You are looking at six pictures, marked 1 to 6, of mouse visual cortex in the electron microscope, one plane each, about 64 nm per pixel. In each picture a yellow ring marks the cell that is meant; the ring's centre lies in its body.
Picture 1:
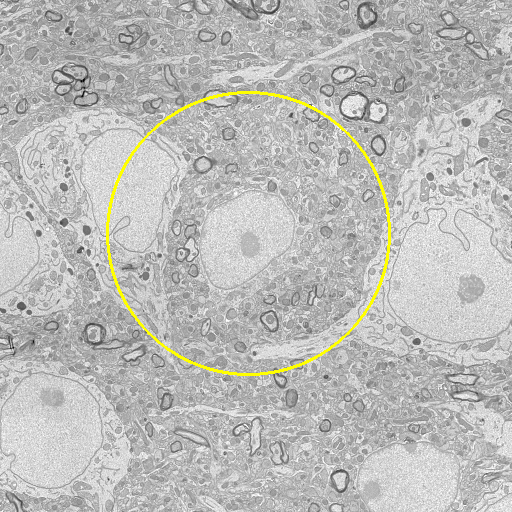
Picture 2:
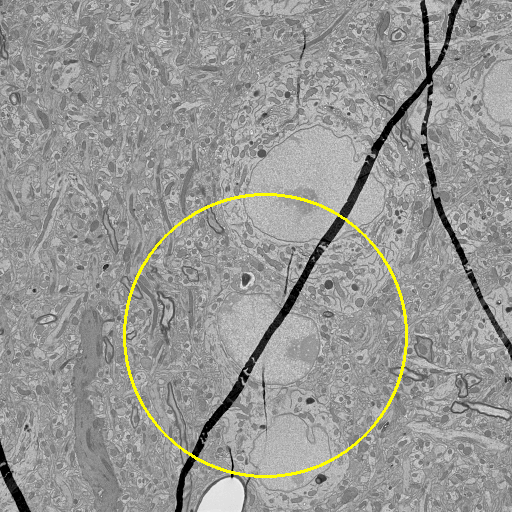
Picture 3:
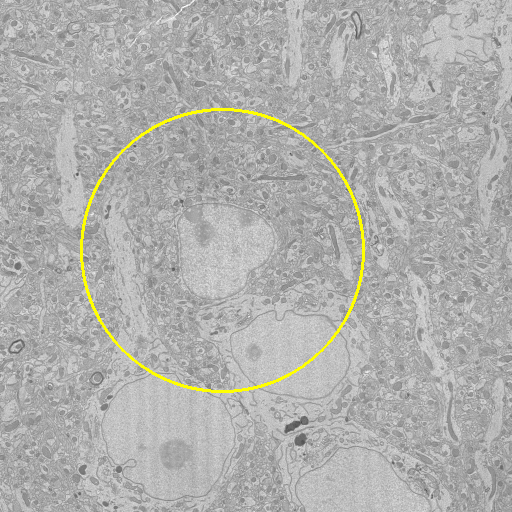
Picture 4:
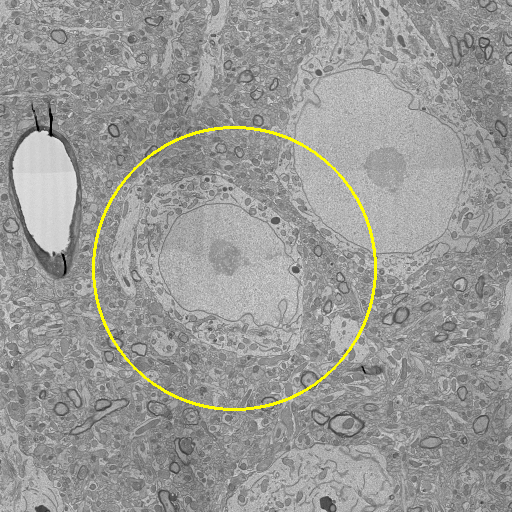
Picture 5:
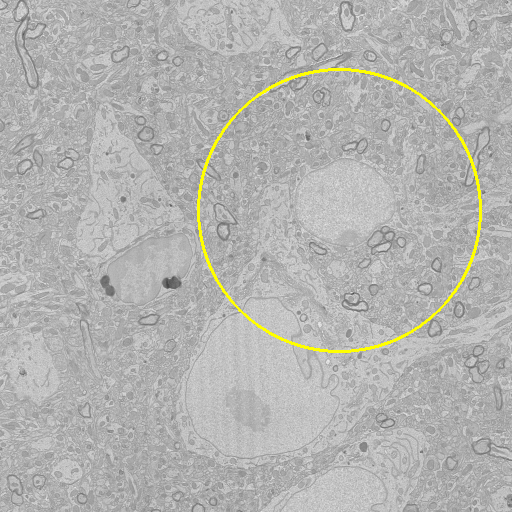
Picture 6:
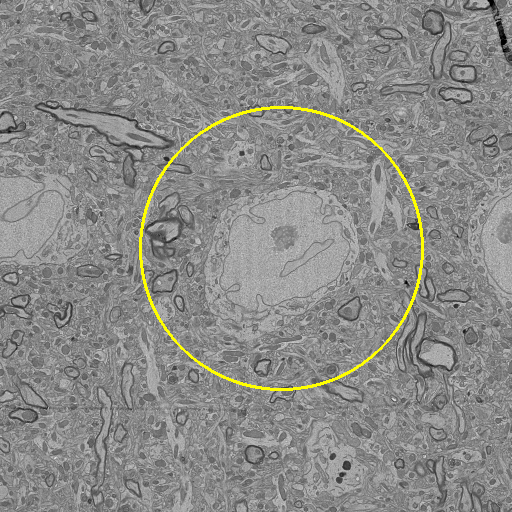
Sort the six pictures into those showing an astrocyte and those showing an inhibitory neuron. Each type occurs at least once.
Pictures 1, 2, 3 and 5 show astrocytes; pictures 4 and 6 show inhibitory neurons.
